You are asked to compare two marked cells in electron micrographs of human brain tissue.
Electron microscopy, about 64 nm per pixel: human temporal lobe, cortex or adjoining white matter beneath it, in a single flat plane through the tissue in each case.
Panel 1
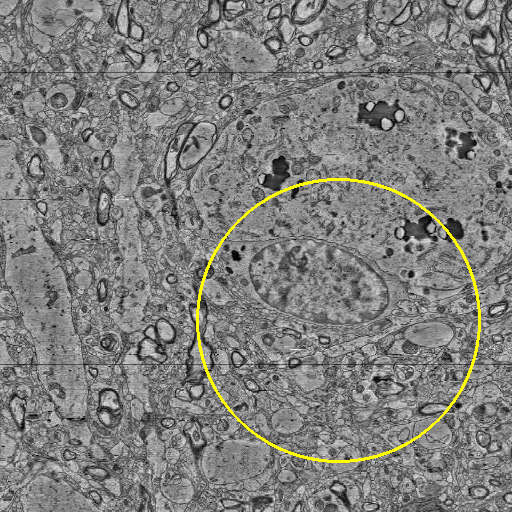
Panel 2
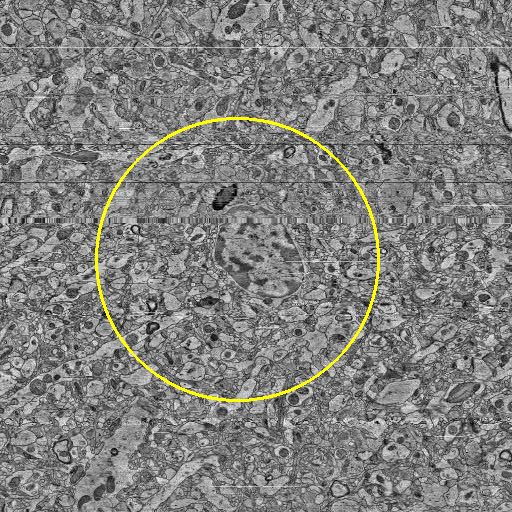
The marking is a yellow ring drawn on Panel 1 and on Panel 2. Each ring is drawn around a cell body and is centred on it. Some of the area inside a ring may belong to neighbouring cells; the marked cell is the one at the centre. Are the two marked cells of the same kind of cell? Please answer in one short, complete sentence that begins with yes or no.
No, the two marked cells are of two kinds.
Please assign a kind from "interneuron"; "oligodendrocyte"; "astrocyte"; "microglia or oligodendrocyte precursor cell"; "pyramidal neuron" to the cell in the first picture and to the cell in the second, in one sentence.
In the first picture we have an oligodendrocyte, and in the second, a microglial cell or oligodendrocyte precursor cell.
